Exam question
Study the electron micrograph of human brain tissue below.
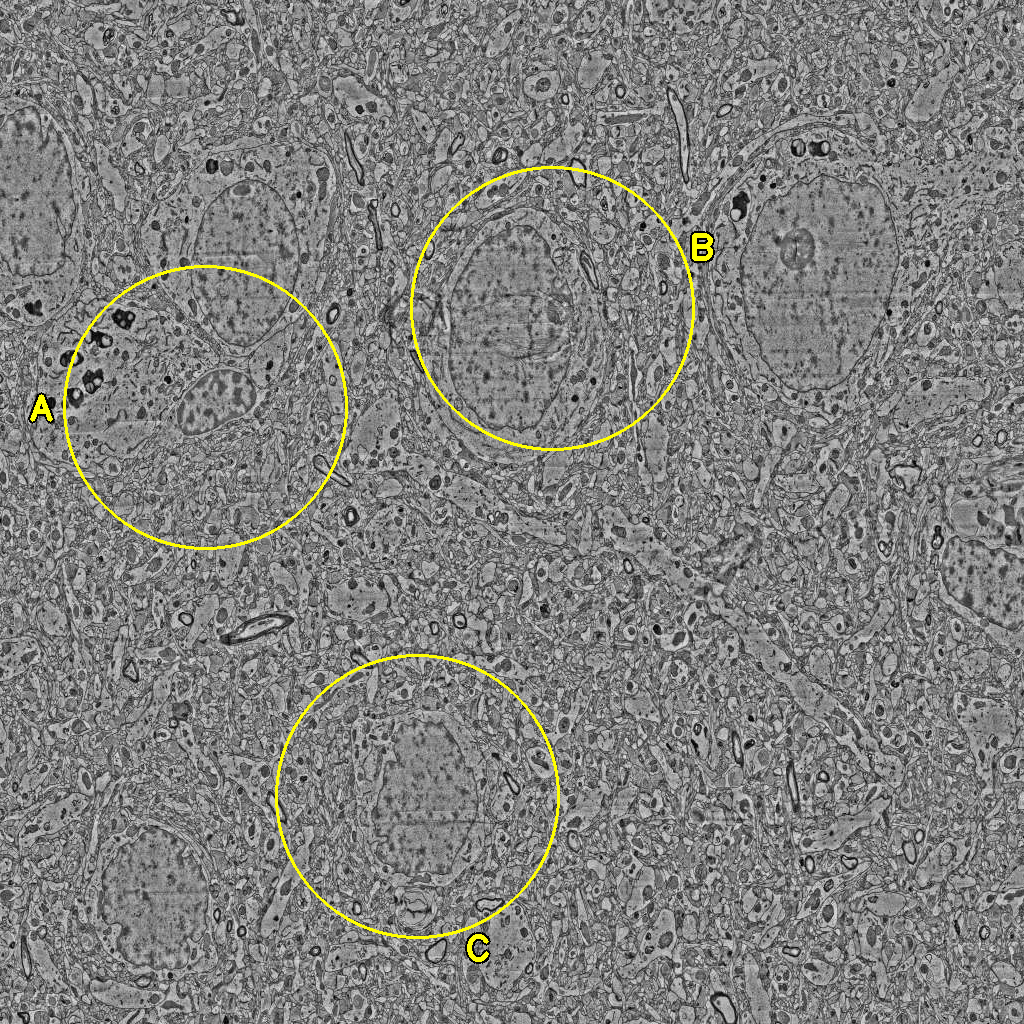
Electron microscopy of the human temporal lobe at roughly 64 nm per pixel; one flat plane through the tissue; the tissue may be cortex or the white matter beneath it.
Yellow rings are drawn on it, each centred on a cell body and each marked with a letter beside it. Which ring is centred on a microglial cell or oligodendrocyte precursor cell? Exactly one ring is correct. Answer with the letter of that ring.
A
